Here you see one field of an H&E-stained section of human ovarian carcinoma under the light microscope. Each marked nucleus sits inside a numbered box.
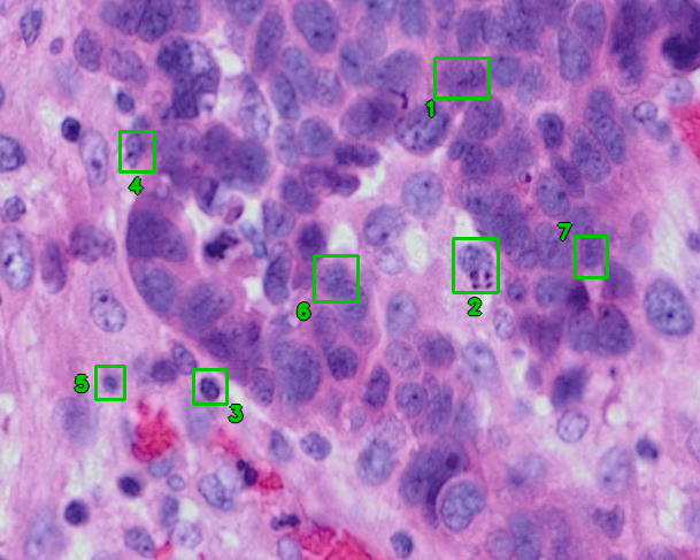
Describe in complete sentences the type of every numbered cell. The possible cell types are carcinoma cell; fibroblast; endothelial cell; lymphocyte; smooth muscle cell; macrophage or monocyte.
Cells 1, 6 and 7 are carcinoma cells. Cells 2 and 4 are macrophages or monocytes. Cells 3 and 5 are lymphocytes.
